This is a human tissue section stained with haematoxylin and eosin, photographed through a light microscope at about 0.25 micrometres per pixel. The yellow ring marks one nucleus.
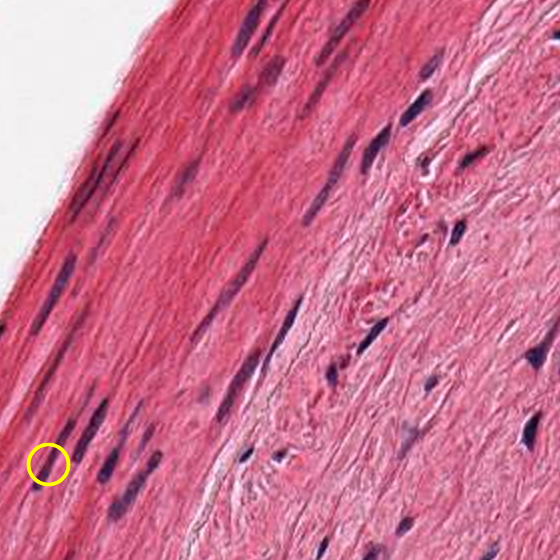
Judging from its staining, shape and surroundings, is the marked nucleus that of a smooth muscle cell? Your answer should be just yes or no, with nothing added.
yes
